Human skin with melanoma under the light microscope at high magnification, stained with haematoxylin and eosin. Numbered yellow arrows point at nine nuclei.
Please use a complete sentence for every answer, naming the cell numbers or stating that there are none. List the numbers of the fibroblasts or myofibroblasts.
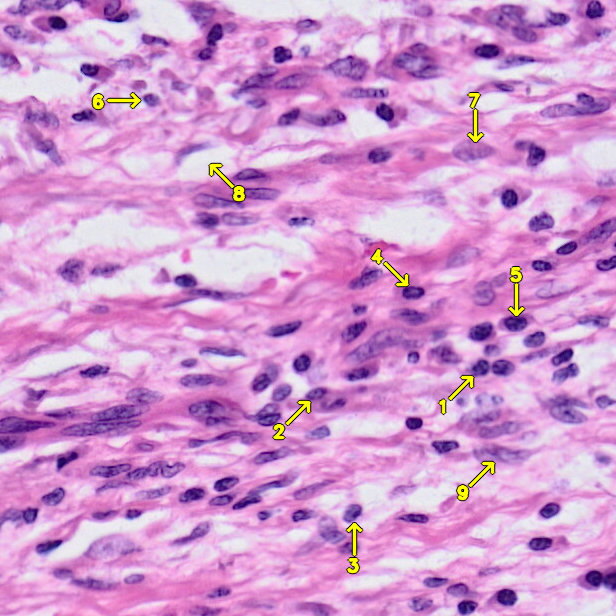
The cells labelled 7, 8 and 9 in this section are fibroblasts or myofibroblasts.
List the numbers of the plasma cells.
The cells that have numbers 2, 4, 5 and 6 are plasma cells.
